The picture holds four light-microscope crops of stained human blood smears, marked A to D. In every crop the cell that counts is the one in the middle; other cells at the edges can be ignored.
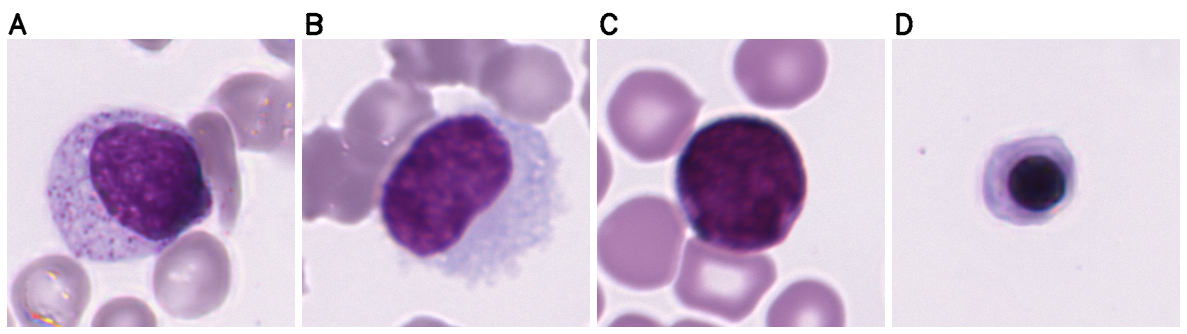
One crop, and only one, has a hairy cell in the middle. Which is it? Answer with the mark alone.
B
